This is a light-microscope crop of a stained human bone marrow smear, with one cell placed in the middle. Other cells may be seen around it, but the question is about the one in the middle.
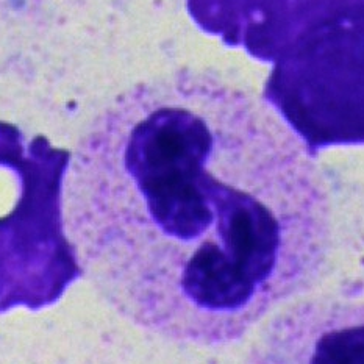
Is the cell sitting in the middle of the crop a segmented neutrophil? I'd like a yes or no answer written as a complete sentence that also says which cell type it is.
Yes, the centered cell in this field is a segmented neutrophil.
